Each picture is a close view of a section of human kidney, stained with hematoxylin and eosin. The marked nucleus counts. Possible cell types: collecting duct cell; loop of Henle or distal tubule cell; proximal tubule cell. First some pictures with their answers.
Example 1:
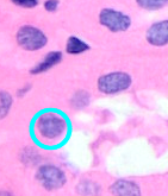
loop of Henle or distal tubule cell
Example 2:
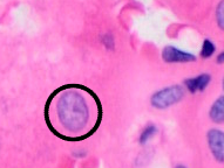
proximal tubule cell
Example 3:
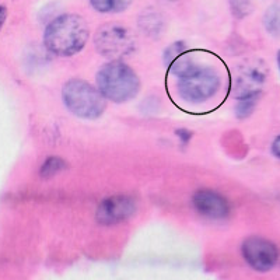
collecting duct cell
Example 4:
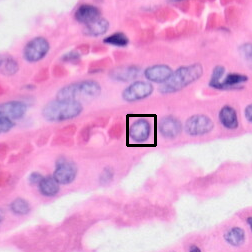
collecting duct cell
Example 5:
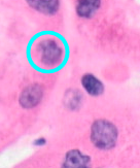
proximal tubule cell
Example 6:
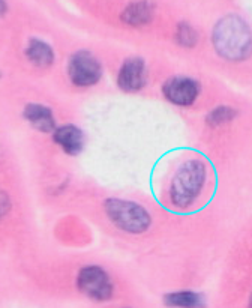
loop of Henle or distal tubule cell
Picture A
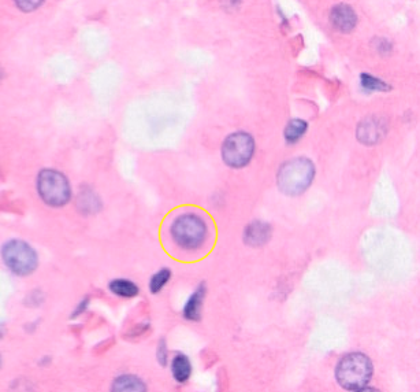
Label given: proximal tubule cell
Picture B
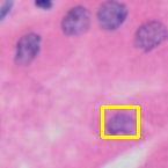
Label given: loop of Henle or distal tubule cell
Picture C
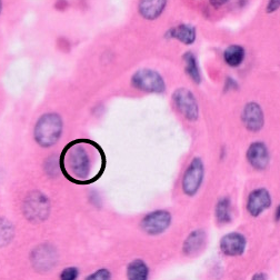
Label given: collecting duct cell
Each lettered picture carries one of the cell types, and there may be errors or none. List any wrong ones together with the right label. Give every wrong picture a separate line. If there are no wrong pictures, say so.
B should be proximal tubule cell, not loop of Henle or distal tubule cell
C should be loop of Henle or distal tubule cell, not collecting duct cell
